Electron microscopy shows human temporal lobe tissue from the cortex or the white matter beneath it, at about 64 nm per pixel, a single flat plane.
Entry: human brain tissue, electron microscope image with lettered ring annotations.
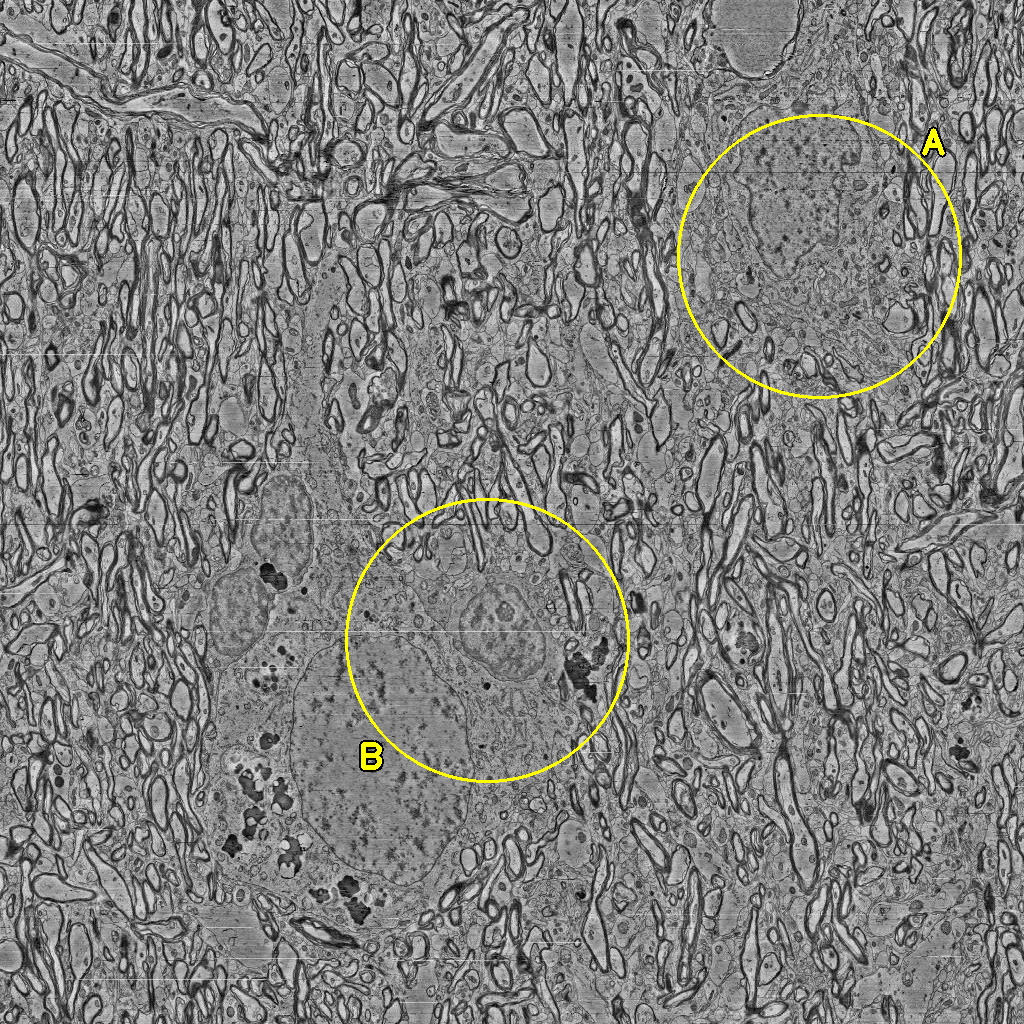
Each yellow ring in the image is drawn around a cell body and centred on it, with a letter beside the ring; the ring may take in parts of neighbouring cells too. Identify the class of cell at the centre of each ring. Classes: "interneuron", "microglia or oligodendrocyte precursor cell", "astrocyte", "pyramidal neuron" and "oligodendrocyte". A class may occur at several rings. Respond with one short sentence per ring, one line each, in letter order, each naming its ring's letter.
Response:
Ring A holds an interneuron at its centre.
Ring B holds an oligodendrocyte at its centre.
